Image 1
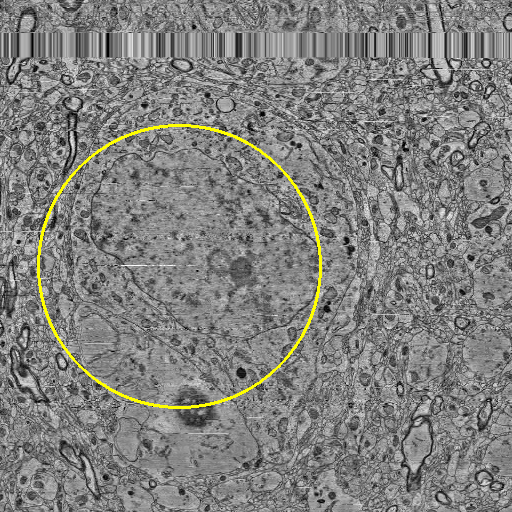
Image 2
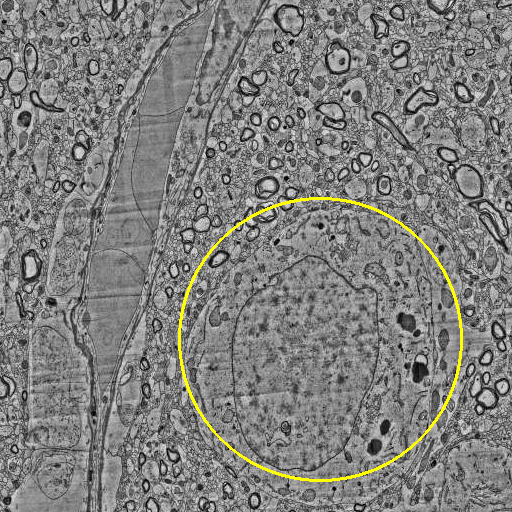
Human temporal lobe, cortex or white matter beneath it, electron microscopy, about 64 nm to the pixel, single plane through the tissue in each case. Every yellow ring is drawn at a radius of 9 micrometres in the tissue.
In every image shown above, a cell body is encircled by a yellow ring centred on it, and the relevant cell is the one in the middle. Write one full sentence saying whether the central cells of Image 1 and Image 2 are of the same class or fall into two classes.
The cell at the ring's centre in Image 1 and its counterpart in Image 2 are of the same class.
